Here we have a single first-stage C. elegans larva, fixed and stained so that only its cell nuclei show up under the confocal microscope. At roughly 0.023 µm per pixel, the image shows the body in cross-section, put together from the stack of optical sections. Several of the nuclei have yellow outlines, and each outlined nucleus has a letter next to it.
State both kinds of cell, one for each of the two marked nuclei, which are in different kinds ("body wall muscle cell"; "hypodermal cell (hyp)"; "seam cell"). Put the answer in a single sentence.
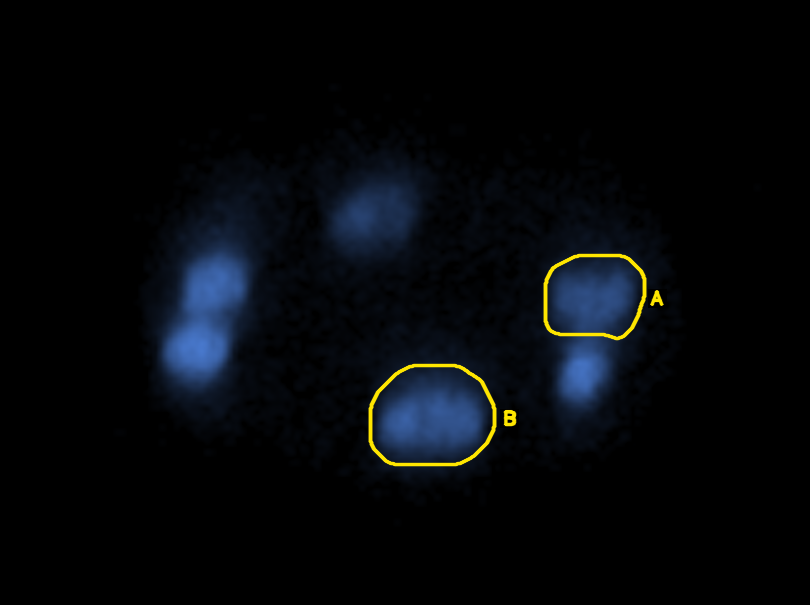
The nucleus A is that of a hypodermal cell (hyp), while B is that of a seam cell.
